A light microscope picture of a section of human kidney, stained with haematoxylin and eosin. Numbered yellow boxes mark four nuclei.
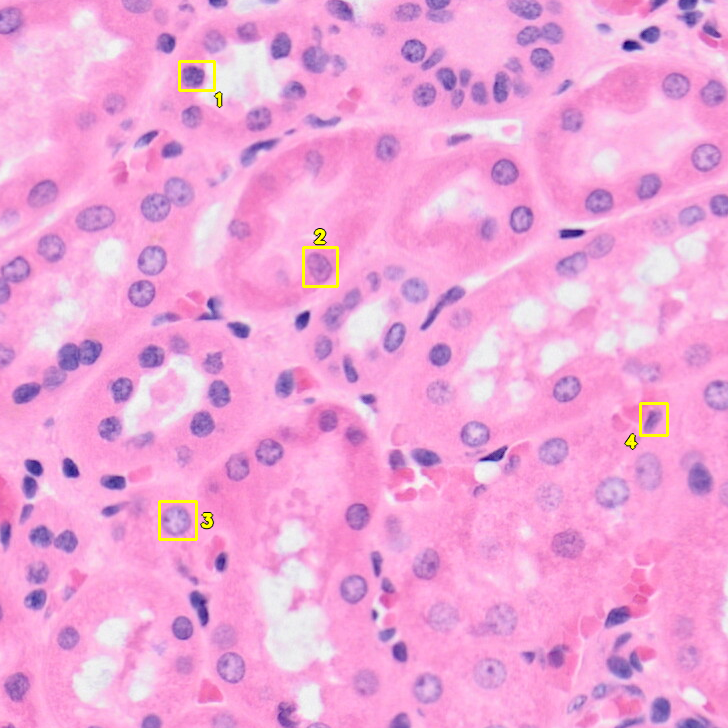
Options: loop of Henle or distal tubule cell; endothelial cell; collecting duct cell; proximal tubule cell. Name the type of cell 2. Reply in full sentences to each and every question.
Cell 2 of the marked set is a proximal tubule cell.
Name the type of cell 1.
Recognised here as a loop of Henle or distal tubule cell is the cell numbered 1.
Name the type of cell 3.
The cell pointed out as number 3 is a proximal tubule cell.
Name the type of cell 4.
Cell 4 should be recorded as an endothelial cell.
